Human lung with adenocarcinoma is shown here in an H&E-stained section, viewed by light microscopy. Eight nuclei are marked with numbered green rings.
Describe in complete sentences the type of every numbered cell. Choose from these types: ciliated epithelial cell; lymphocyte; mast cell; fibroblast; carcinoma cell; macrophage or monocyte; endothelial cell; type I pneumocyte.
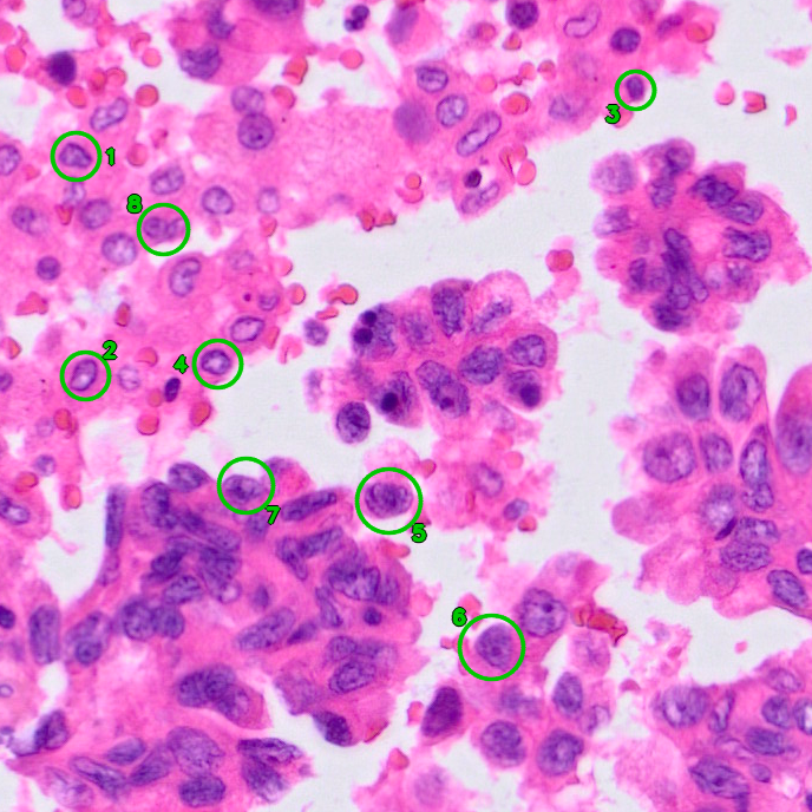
Cells 1, 2, 4 and 8 are macrophages or monocytes. Cell 3 is a lymphocyte. Cells 5, 6 and 7 are carcinoma cells.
